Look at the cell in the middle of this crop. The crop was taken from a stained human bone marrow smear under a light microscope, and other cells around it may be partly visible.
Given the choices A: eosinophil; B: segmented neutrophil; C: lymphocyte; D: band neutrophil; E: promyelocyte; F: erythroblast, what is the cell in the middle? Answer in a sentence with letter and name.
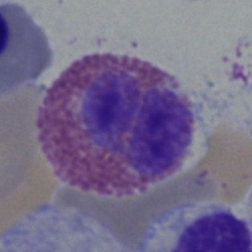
In the middle of the crop is an eosinophil; option A is therefore correct.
